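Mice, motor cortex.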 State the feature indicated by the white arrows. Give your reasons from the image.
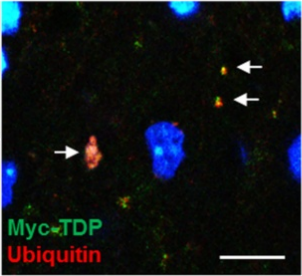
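The arrows point to small discrete puncta and one larger clump. The marked puncta are yellow-orange where green and red overlap.
Hence: aggregates.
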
